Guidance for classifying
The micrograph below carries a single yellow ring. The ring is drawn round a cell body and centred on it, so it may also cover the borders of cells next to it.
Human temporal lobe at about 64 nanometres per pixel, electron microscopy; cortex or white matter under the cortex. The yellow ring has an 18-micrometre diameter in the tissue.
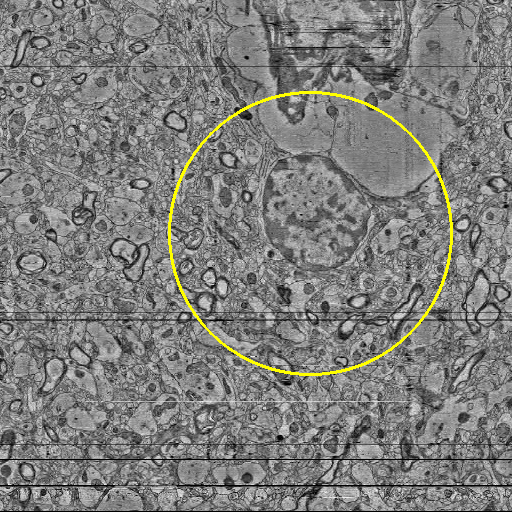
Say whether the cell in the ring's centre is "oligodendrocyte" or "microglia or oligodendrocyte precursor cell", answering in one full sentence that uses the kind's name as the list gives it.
Within the yellow ring, a microglial cell or oligodendrocyte precursor cell is the cell whose body sits at the centre.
